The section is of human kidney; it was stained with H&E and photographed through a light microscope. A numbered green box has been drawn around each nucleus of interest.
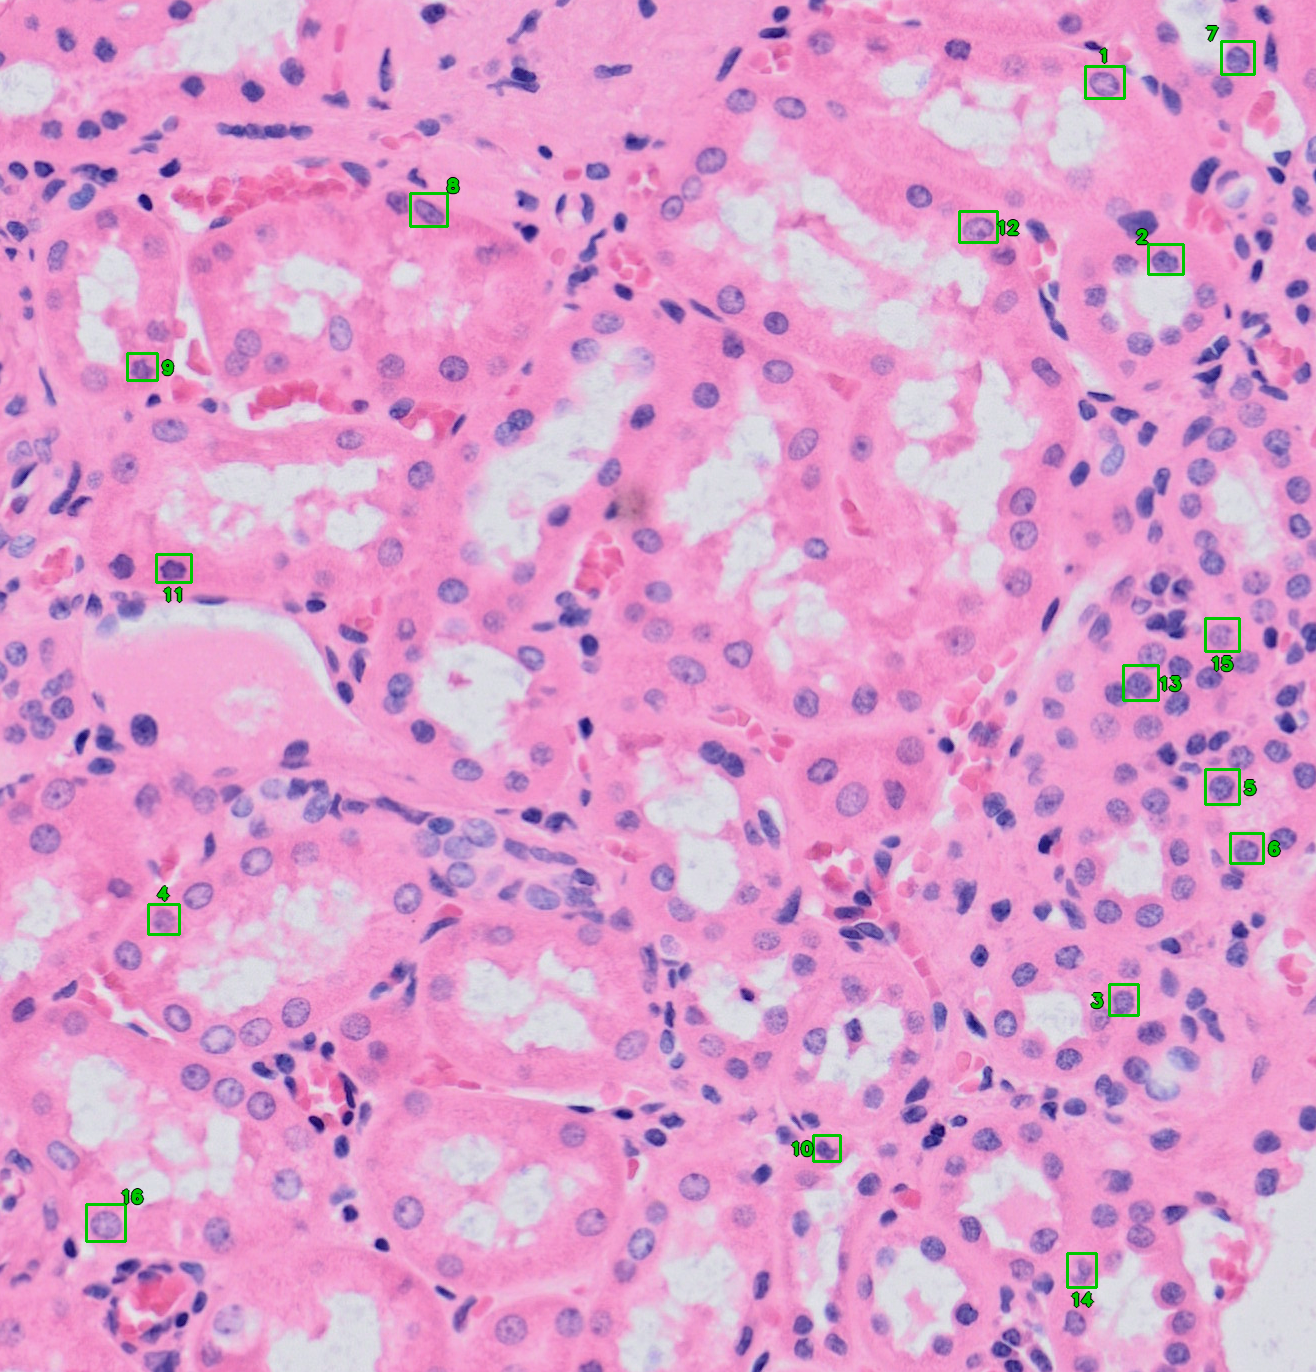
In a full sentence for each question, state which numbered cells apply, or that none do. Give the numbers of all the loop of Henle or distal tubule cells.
The cells referred to by numbers 2, 3, 5, 6, 7, 10, 13, 14 and 15 are loop of Henle or distal tubule cells.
